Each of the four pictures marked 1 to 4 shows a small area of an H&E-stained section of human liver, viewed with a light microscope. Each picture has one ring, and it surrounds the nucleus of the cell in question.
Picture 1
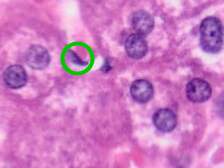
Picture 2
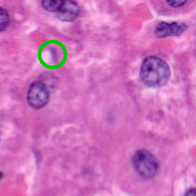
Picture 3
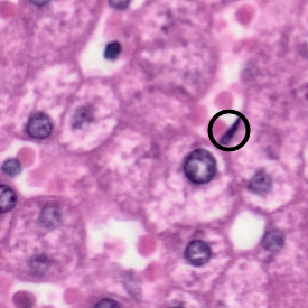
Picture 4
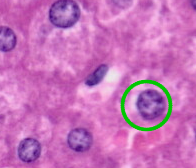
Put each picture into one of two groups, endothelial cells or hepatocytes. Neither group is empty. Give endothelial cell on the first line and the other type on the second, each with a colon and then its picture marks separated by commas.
endothelial cell: 1, 2, 3
hepatocyte: 4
